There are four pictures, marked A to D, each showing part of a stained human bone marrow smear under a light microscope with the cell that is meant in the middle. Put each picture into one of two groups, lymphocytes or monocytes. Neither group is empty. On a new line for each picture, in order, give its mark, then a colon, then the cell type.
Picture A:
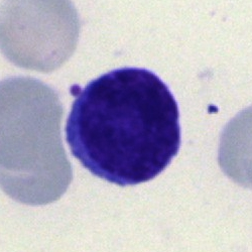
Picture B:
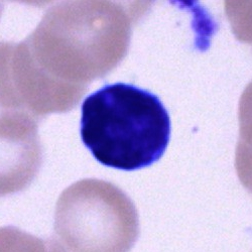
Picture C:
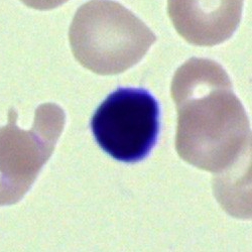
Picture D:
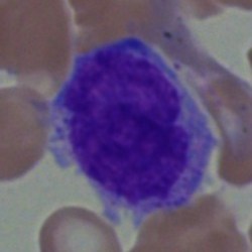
A: lymphocyte
B: lymphocyte
C: lymphocyte
D: monocyte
